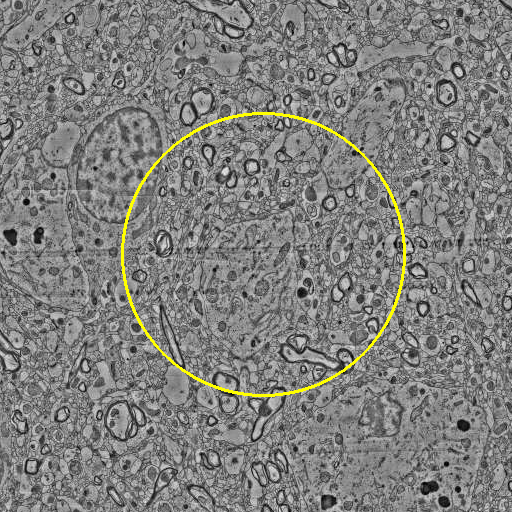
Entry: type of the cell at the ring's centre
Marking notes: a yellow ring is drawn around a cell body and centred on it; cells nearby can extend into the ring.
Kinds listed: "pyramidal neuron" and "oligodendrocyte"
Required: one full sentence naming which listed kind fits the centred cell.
My entry names a pyramidal neuron as the cell whose body the yellow ring centres on.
